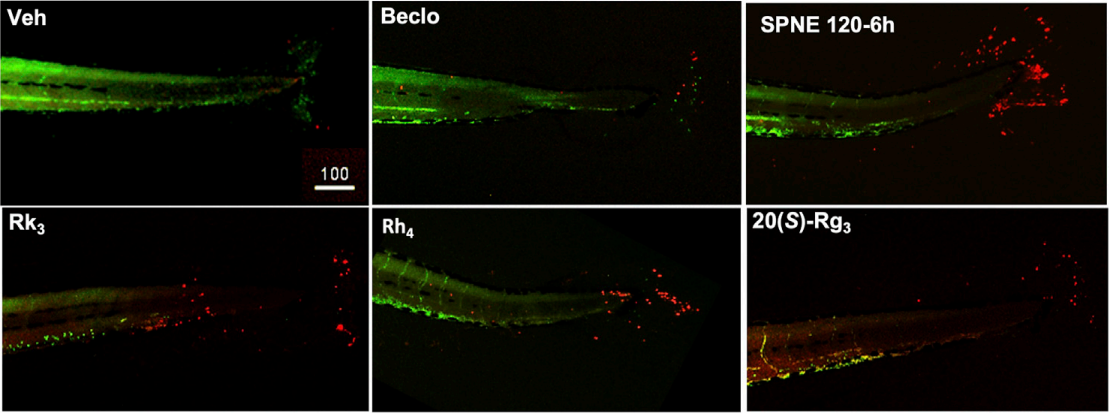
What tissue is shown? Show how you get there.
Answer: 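Each image shows a slender tapering larval tail running horizontally. So: amputated tails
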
